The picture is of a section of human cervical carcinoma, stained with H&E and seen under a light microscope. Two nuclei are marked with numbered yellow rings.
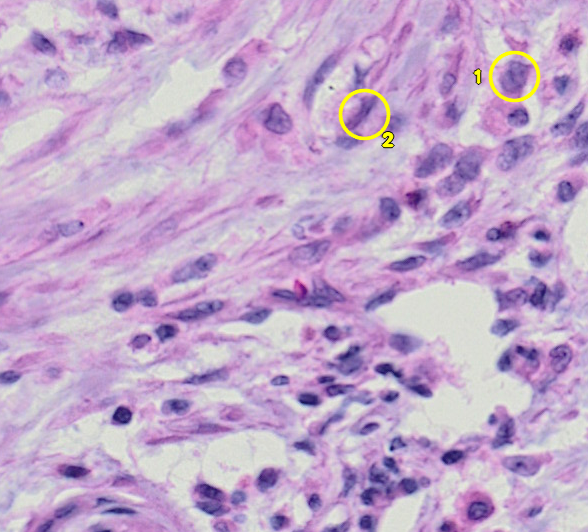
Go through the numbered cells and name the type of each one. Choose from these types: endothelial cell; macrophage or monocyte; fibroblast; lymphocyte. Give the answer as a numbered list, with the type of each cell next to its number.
1. macrophage or monocyte
2. fibroblast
